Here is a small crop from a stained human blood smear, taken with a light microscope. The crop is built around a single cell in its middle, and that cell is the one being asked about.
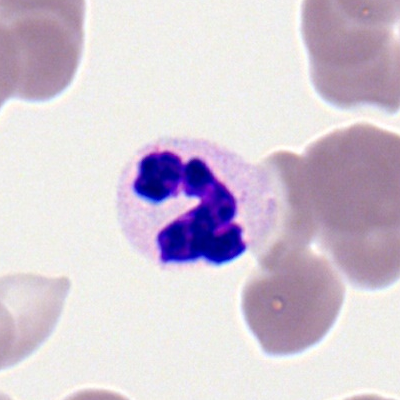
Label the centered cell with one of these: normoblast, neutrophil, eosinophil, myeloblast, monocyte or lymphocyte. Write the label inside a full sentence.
The cell positioned in the middle of the field is a neutrophil.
